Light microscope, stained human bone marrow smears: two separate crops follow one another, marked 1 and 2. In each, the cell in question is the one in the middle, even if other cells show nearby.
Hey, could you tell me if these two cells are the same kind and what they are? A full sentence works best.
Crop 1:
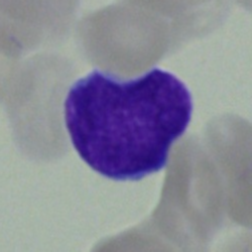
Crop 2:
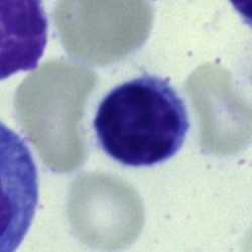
No, a blast occupies the middle of crop 1, and a lymphocyte the middle of crop 2.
